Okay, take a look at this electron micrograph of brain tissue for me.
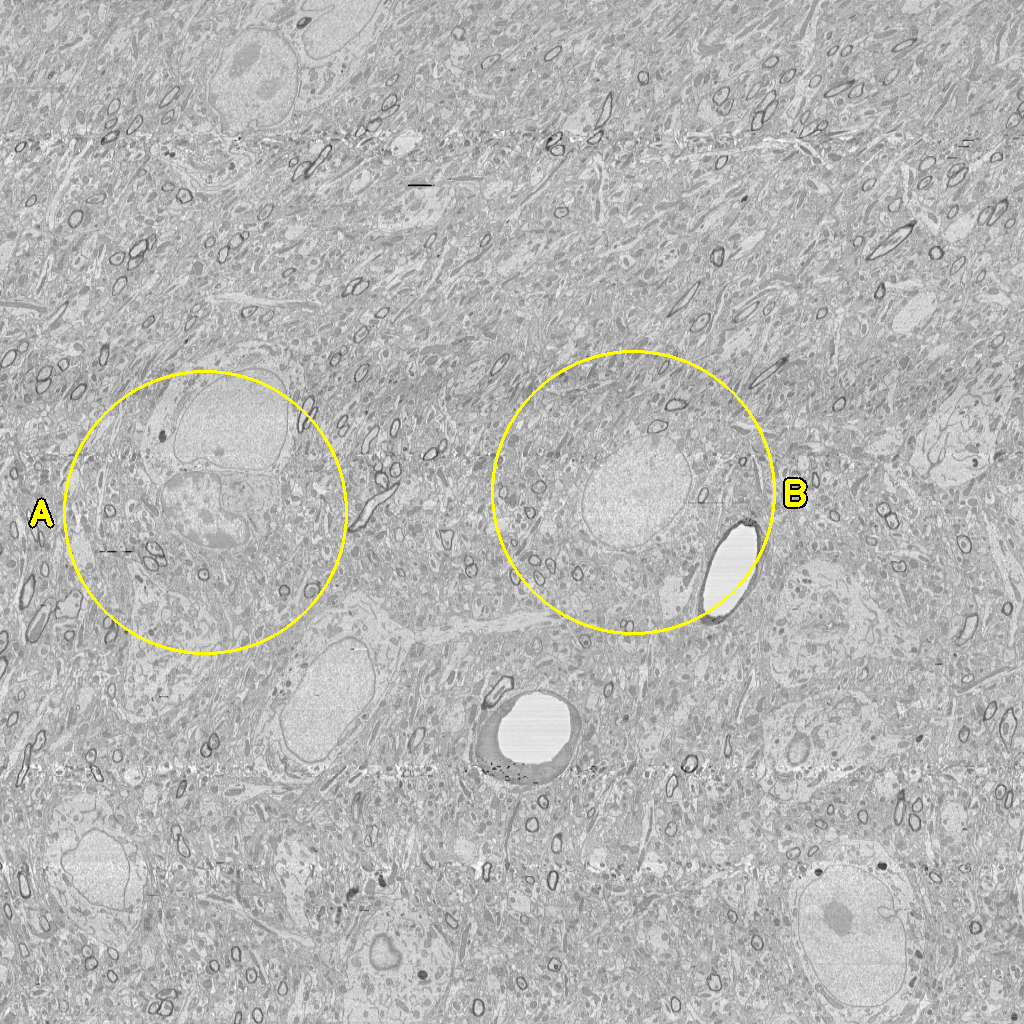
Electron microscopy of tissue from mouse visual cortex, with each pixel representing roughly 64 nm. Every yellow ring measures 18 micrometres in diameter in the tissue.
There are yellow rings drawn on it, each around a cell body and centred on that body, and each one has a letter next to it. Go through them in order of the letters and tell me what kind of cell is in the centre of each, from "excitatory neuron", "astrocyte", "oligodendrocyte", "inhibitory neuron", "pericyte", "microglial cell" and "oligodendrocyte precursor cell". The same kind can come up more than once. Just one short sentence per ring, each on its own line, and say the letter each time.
In the centre of ring A there's an oligodendrocyte.
In the centre of ring B there's an astrocyte.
